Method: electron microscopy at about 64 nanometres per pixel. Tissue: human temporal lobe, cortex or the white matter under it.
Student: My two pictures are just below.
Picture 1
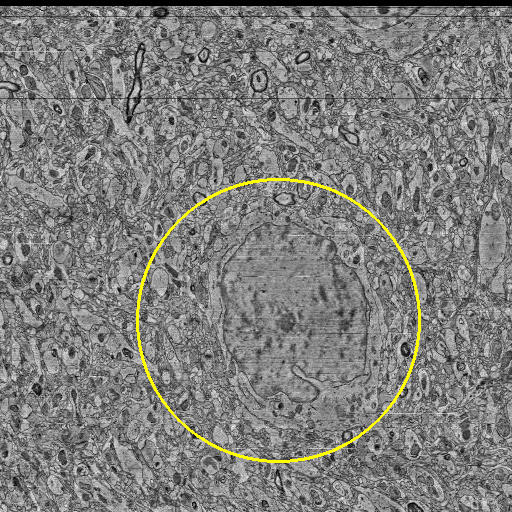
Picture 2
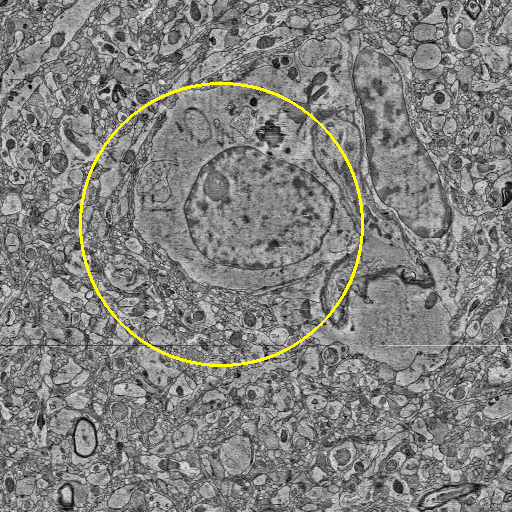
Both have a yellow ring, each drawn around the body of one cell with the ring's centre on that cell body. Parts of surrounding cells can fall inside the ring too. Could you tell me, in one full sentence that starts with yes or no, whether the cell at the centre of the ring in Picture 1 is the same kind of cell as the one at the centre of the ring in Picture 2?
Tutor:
No, the two cells are of two kinds.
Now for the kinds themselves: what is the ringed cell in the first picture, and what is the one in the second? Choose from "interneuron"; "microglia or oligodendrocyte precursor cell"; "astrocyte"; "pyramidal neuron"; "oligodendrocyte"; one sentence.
Here the first cell is an interneuron and the second cell is an astrocyte.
